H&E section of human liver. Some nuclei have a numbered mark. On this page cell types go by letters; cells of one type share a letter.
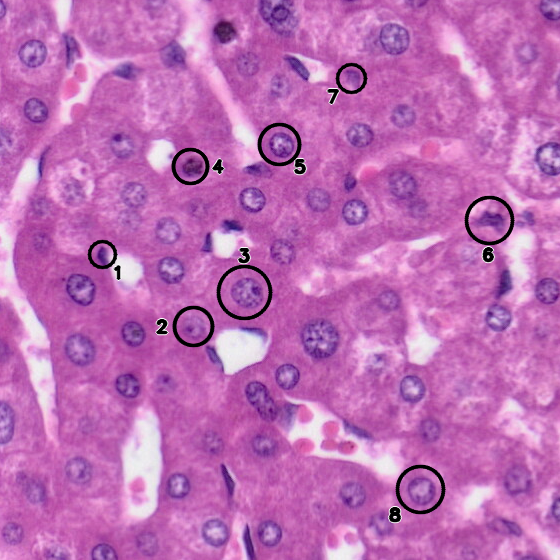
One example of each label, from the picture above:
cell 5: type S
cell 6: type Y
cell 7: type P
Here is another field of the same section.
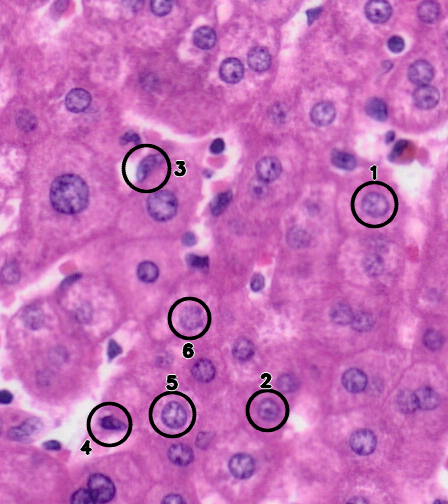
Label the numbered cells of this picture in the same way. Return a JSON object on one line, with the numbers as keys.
{"1": "type S", "2": "type S", "3": "type Y", "4": "type P", "5": "type S", "6": "type S"}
